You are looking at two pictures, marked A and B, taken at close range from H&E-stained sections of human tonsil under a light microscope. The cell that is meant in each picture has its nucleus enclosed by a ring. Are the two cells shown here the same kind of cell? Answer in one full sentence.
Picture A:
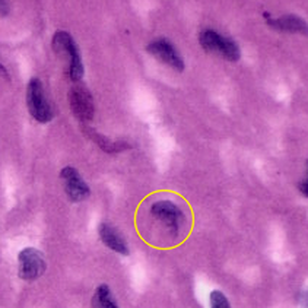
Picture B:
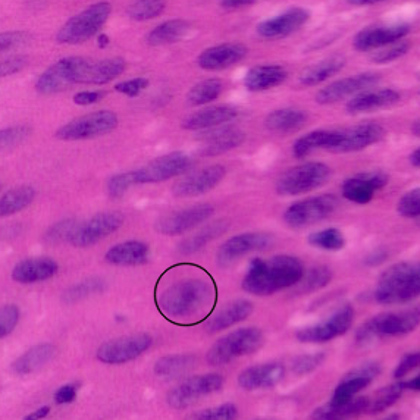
Yes, both cells are squamous epithelial cells.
